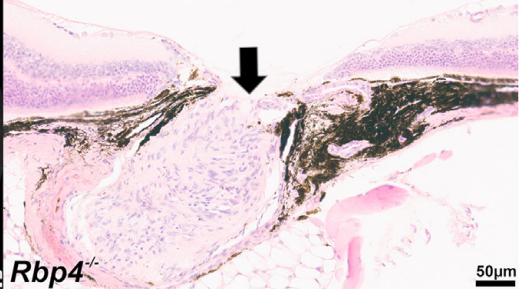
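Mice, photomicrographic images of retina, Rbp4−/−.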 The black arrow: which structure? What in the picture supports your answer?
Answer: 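The retinal layers on both sides end at a central dip where the arrow points. Beneath the arrow a pale fibrous tissue mass passes between the dark pigmented layers.
Conclusion: Optic nerve head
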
